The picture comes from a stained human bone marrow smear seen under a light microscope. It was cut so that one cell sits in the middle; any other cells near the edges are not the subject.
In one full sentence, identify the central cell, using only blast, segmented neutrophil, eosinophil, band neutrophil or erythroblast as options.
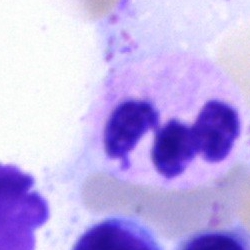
In the crop, the cell of interest at the centre is a segmented neutrophil.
